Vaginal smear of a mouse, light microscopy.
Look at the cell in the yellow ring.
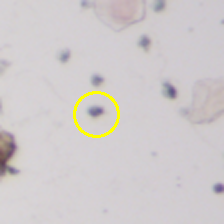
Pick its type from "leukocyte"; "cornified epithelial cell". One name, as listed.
leukocyte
